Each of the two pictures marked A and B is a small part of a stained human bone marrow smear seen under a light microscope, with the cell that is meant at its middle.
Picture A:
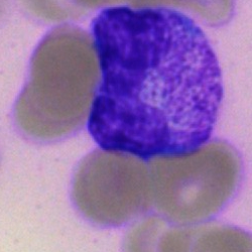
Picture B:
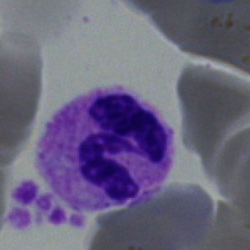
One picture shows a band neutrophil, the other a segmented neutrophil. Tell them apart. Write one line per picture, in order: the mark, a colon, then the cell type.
A: band neutrophil
B: segmented neutrophil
